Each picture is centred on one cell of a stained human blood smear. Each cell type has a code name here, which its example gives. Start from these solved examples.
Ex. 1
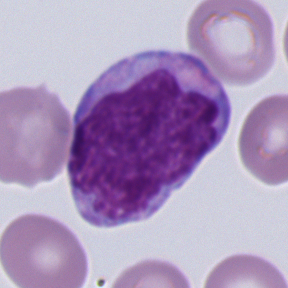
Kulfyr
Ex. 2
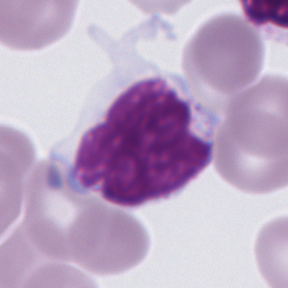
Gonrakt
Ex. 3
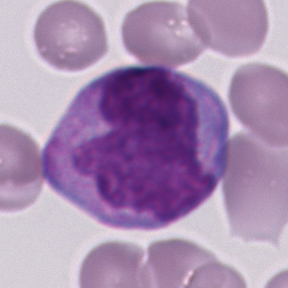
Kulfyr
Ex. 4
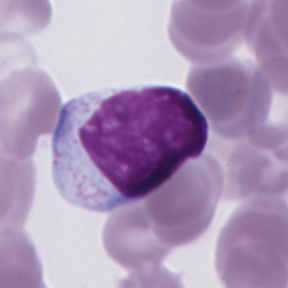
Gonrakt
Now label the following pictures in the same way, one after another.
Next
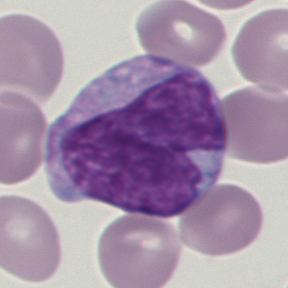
Kulfyr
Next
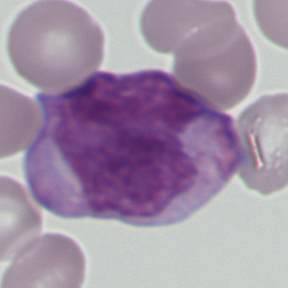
Kulfyr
